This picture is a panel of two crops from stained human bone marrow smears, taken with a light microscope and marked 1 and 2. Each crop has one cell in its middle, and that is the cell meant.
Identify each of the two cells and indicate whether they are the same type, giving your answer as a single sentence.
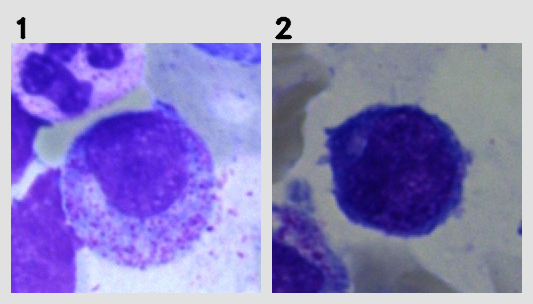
No, a blast is the cell of crop 2, while a myelocyte is the cell of crop 1.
